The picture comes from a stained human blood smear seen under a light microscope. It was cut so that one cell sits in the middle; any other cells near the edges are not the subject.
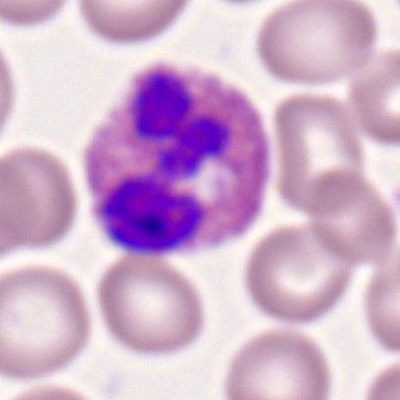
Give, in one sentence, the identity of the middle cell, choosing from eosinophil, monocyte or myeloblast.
Standing at the centre of this crop is an eosinophil.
